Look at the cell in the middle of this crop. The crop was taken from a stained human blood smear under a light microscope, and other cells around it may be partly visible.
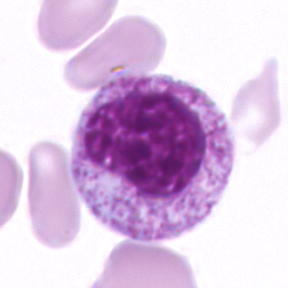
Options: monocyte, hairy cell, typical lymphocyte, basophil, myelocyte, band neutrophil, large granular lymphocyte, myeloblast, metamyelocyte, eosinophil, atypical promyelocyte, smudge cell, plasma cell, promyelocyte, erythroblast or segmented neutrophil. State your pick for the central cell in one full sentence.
On this slide crop, the central cell is a myelocyte.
